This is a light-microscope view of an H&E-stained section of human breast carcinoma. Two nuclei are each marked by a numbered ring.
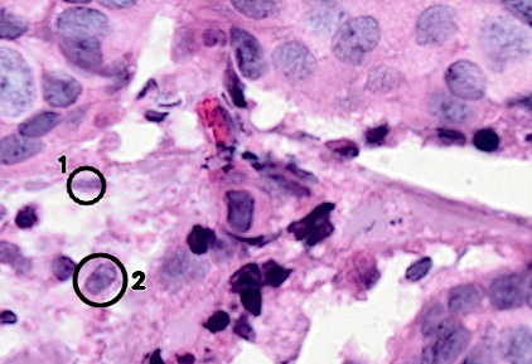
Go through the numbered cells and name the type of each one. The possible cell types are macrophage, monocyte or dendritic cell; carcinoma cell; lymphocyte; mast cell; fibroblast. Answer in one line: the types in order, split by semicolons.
fibroblast; macrophage, monocyte or dendritic cell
